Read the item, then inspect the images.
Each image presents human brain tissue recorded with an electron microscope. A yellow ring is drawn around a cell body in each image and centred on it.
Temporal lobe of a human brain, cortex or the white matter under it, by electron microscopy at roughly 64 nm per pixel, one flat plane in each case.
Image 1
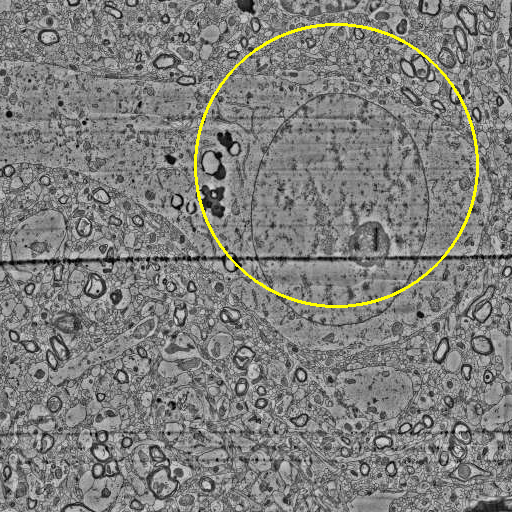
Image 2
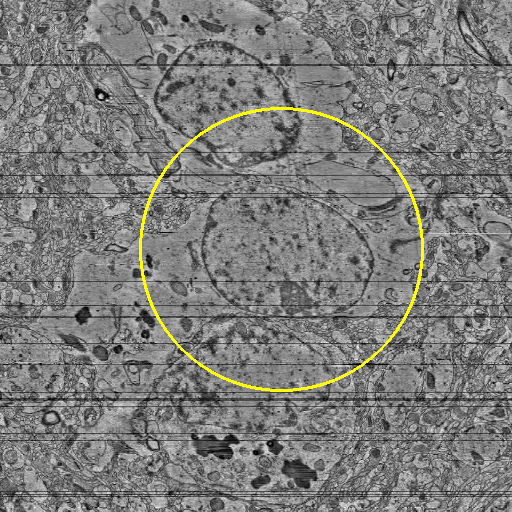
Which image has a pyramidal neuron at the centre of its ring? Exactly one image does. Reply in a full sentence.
The ring in Image 1 is centred on it.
